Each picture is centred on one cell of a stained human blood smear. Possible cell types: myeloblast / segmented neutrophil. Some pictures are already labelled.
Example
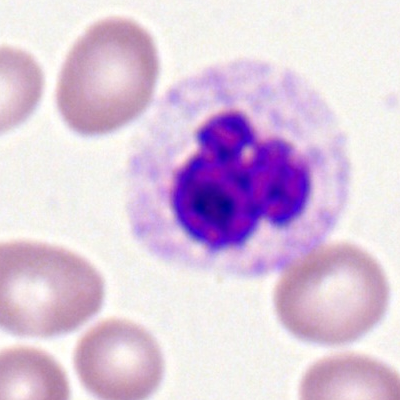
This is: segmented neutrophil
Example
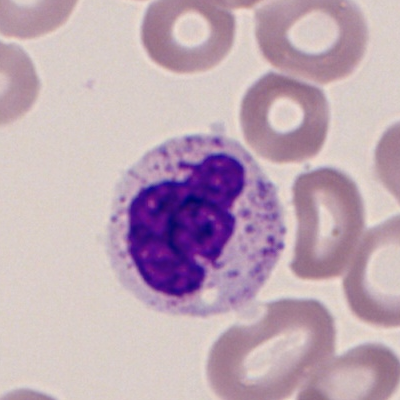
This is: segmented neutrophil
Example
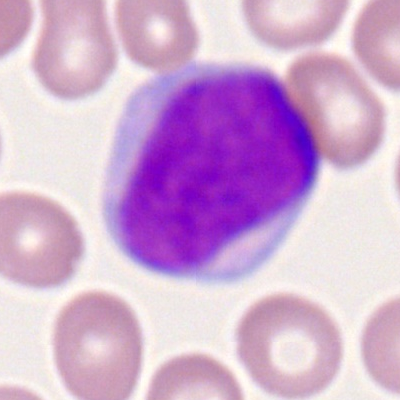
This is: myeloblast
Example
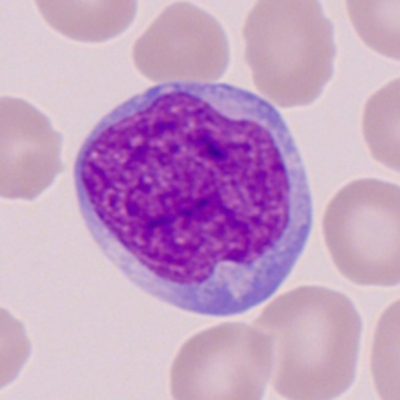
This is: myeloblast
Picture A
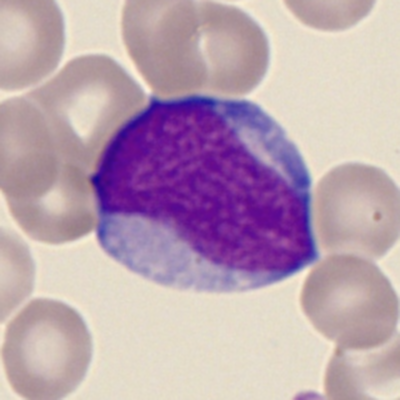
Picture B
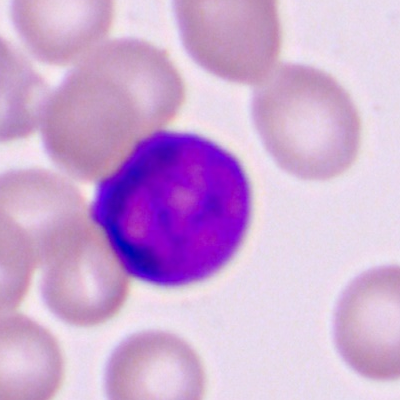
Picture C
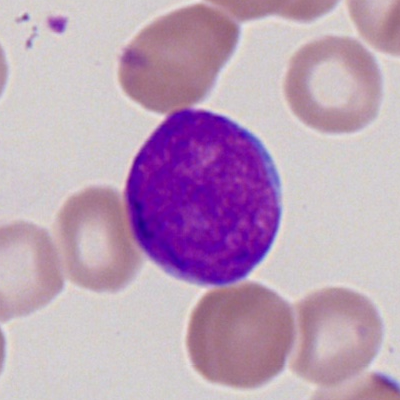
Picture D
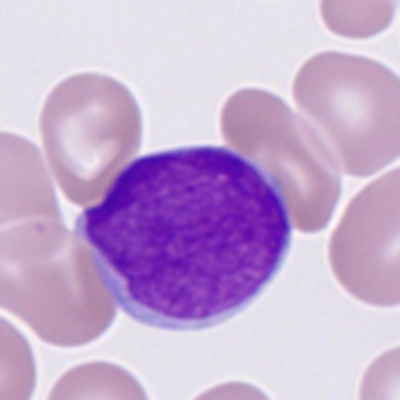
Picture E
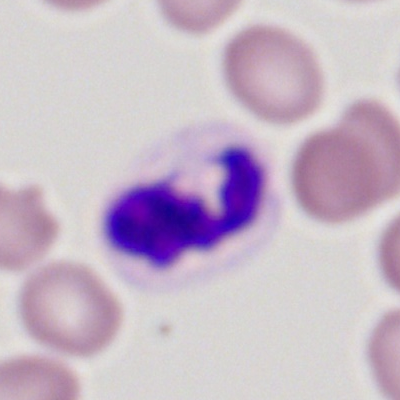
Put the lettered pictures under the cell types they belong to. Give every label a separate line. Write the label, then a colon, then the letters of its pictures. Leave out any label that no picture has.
myeloblast: A, B, C, D
segmented neutrophil: E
